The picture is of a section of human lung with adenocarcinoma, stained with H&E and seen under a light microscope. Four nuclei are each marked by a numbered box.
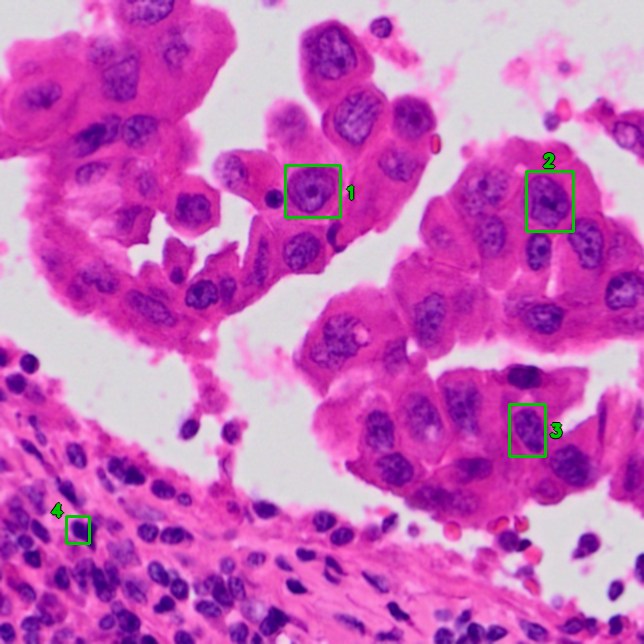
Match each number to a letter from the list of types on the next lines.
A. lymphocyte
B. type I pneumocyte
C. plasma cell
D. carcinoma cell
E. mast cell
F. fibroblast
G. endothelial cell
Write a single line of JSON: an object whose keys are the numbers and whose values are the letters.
{"1": "D", "2": "D", "3": "D", "4": "A"}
